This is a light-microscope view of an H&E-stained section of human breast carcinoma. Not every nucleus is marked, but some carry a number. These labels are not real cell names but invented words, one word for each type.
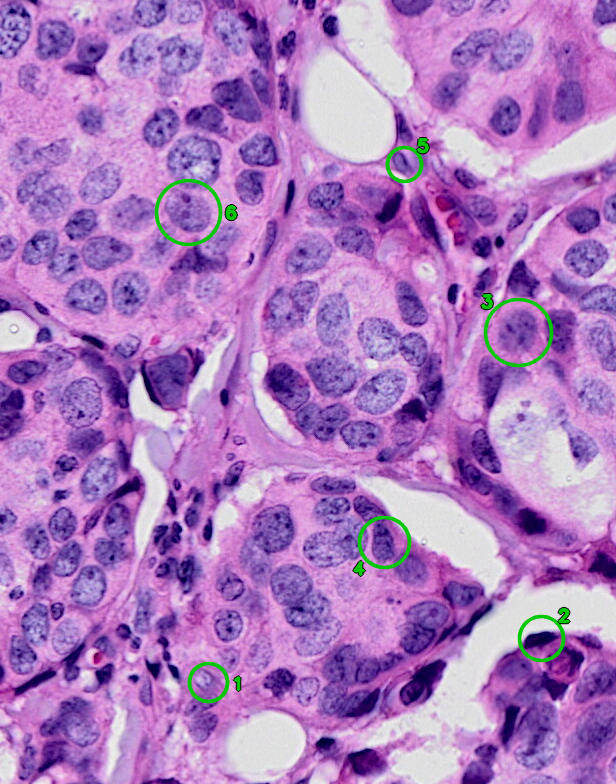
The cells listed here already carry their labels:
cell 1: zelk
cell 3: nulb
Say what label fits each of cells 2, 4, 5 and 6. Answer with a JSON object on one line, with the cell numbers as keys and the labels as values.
{"2": "nulb", "4": "nulb", "5": "zelk", "6": "nulb"}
